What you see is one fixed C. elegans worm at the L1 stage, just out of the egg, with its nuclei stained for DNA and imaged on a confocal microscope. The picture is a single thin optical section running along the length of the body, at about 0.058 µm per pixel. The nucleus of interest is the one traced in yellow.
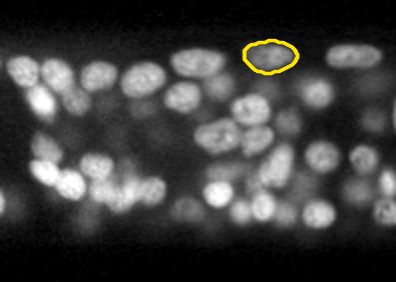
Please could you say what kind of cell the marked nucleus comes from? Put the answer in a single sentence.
This is the nucleus of a body wall muscle cell.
